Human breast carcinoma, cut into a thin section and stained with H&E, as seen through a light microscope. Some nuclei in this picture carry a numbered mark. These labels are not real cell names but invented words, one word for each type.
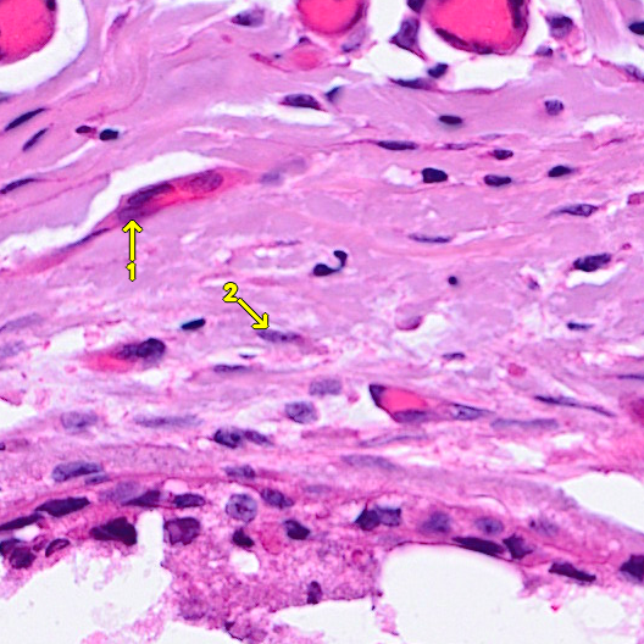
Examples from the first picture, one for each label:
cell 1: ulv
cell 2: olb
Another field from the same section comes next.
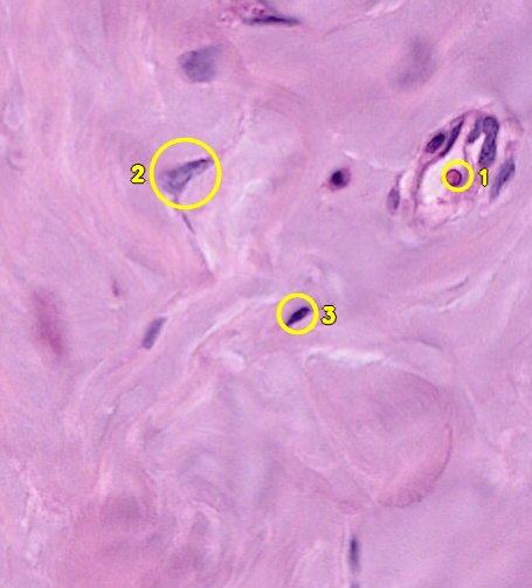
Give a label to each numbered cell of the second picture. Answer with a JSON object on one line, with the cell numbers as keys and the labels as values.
{"1": "ulv", "2": "olb", "3": "olb"}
